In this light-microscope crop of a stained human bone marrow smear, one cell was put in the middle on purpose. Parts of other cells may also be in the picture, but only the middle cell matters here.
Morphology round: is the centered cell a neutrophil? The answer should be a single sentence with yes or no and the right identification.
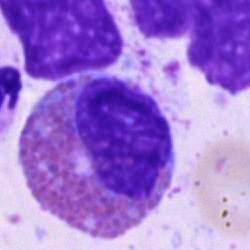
No, the centre of the crop is taken up by an eosinophil, not a neutrophil.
